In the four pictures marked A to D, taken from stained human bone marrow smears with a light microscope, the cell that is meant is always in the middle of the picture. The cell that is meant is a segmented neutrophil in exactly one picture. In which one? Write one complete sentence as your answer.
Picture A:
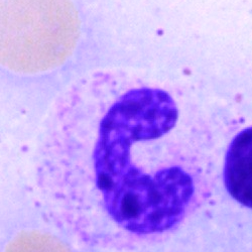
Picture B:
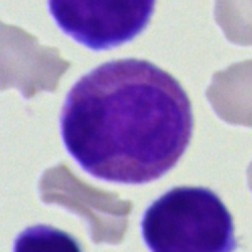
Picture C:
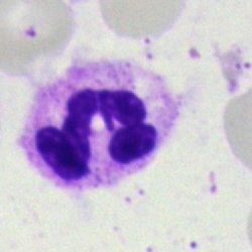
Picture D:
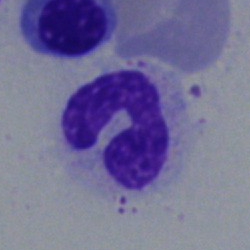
It is picture C that shows the segmented neutrophil.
